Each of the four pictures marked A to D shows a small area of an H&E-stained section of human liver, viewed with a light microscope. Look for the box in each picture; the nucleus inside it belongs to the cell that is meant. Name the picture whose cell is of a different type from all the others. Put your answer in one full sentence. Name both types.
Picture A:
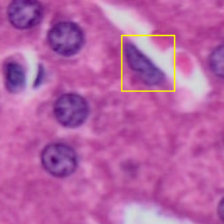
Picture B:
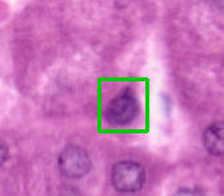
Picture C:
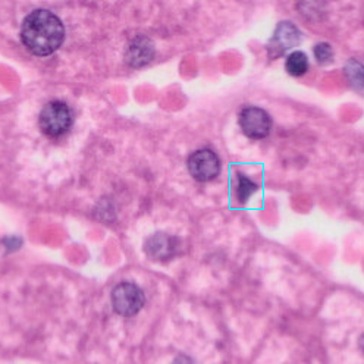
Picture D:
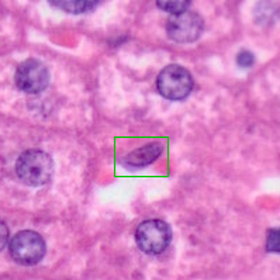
Unlike the rest, which show Kupffer cells, picture C shows a “fibroblast or stellate cell”.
